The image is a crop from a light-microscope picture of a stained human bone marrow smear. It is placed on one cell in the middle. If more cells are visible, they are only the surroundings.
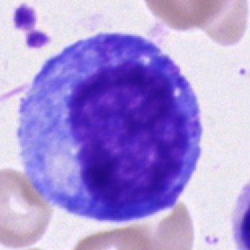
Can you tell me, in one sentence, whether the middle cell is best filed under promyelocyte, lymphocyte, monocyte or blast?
For this crop, the central cell is a promyelocyte.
